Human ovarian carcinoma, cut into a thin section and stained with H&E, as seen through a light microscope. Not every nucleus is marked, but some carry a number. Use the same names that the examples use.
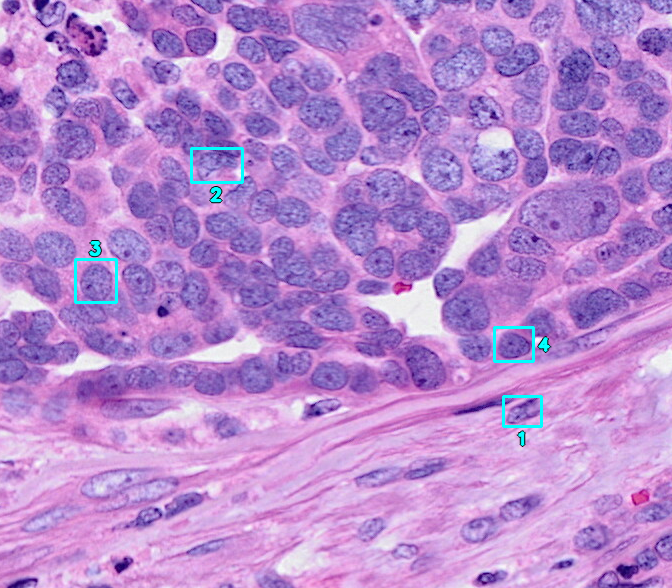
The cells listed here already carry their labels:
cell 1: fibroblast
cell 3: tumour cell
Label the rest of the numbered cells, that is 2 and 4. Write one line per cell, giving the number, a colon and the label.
2: tumour cell
4: tumour cell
